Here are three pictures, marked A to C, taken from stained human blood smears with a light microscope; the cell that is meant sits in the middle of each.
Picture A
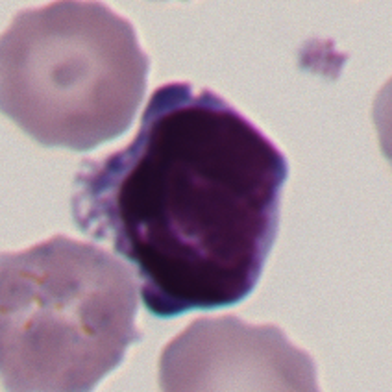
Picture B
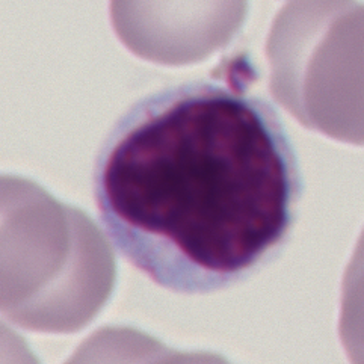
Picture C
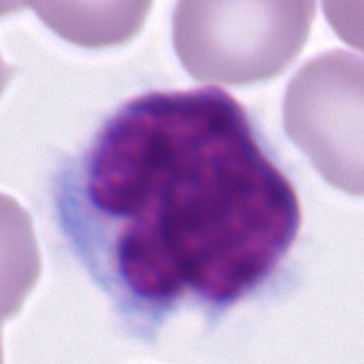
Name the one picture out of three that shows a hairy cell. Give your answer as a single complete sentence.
It is picture C that shows the hairy cell.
